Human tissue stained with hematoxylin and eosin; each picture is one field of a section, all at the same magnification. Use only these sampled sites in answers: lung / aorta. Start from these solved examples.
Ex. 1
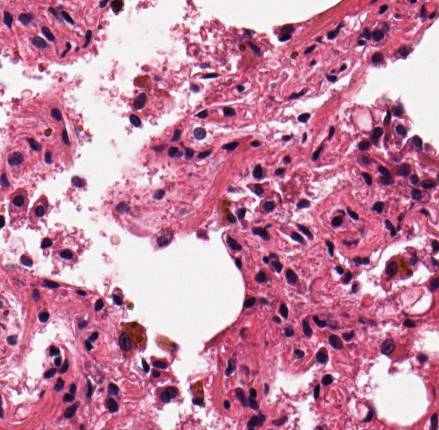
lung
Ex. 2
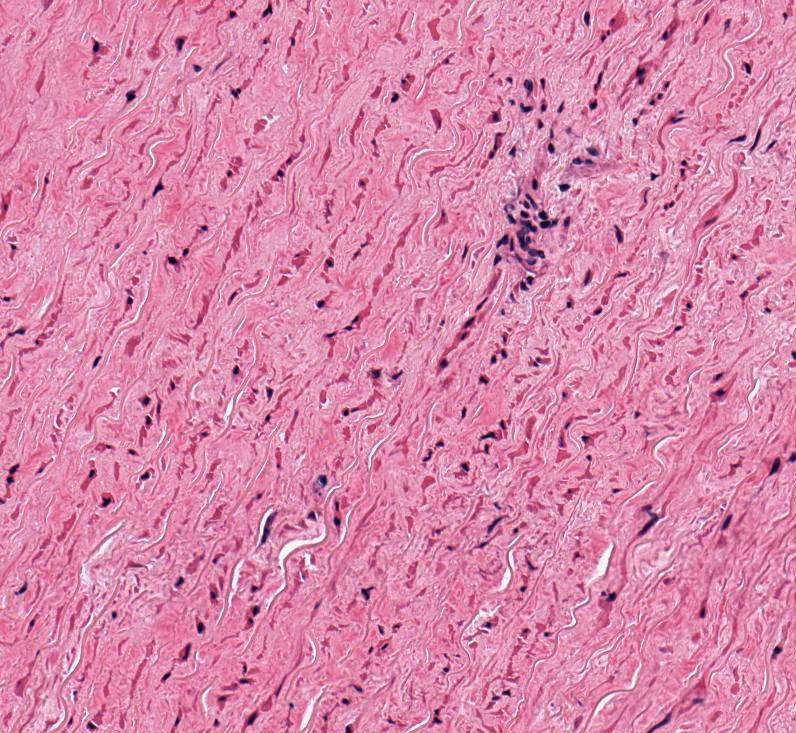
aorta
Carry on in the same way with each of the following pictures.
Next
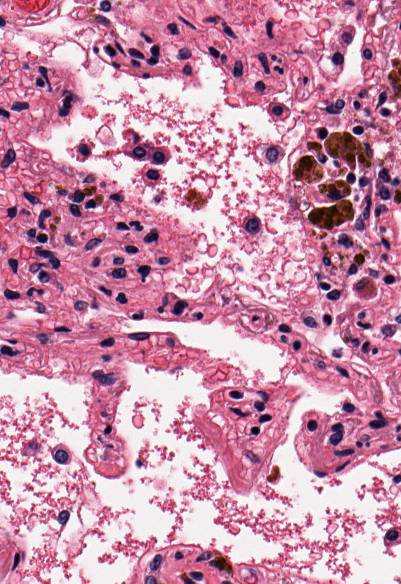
lung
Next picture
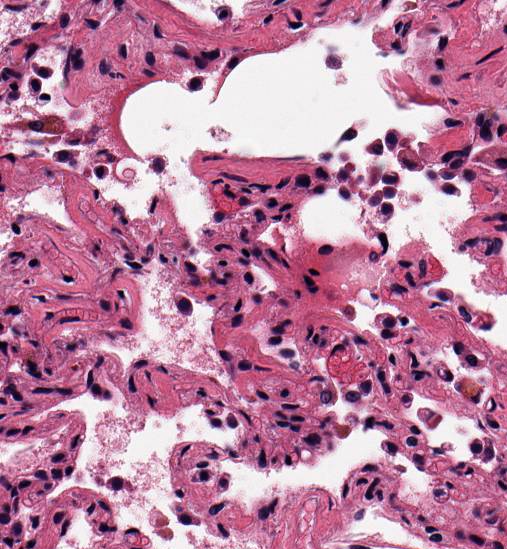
lung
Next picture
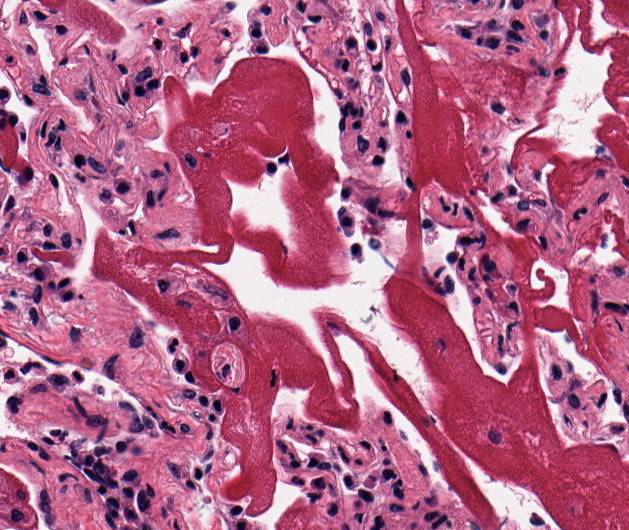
lung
